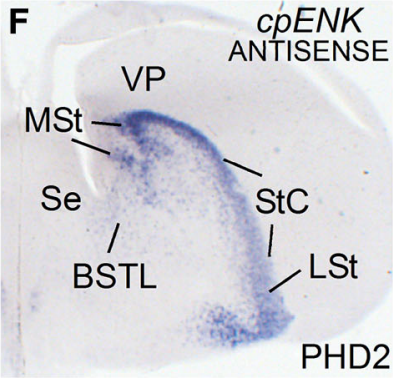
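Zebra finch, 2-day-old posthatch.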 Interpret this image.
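A frontal section through a bird brain hemisphere shows many small, dark blue, dot-like labelled cells concentrated in the ventral striatal region. They are densest along a curved band running from the top near the ventricle down the lateral side to a cluster at the lower lateral edge, with more scattered labelled cells medially near the septum. The rest of the section, dorsal and lateral to this band, is pale and unlabelled.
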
